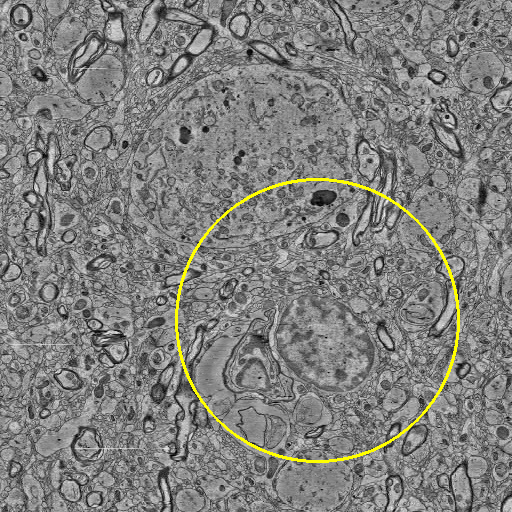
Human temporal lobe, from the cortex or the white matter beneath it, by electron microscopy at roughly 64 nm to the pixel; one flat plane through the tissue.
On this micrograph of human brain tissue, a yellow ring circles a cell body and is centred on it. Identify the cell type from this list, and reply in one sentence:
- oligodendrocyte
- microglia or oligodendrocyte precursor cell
The cell at the centre is an oligodendrocyte.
